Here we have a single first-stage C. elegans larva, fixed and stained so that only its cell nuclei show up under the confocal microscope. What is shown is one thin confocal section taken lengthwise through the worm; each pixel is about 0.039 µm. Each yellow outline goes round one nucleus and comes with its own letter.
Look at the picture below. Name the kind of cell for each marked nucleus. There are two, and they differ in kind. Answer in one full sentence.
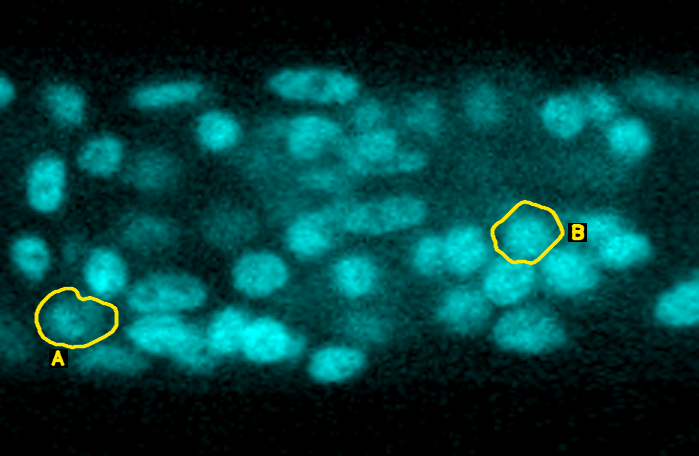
B belongs to a neuron, and A to a body wall muscle cell.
